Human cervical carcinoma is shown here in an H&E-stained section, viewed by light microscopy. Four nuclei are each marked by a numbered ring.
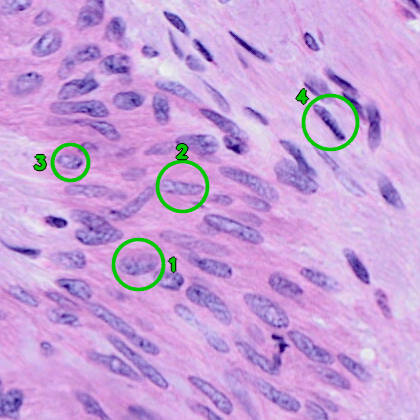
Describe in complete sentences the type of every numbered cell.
Cells 1, 2 and 3 are smooth muscle cells. Cell 4 is a fibroblast.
